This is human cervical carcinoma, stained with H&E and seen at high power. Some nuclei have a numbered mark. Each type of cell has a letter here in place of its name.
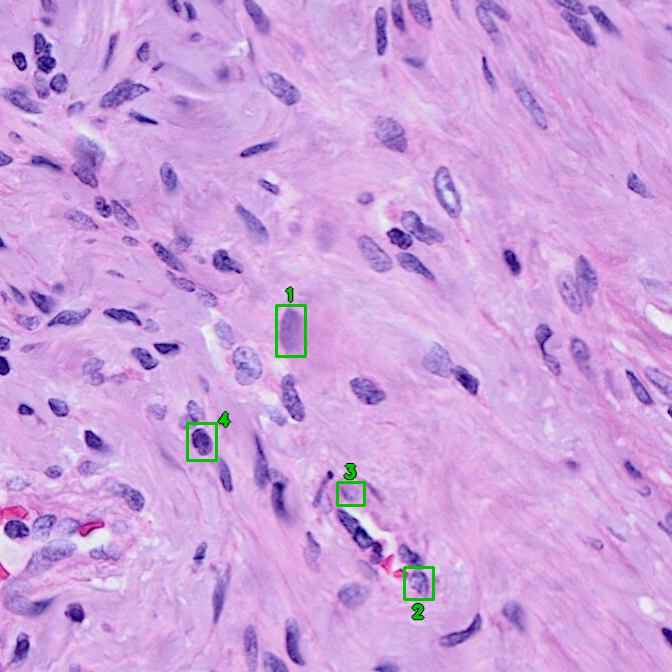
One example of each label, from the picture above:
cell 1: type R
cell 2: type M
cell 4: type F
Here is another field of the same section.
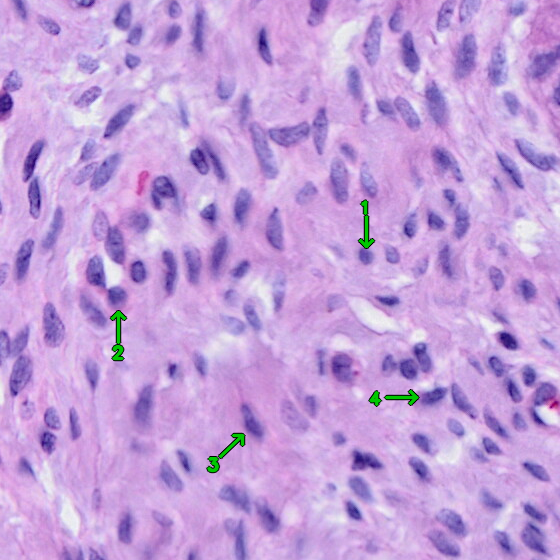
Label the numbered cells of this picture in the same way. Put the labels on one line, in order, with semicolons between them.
type R; type M; type R; type R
